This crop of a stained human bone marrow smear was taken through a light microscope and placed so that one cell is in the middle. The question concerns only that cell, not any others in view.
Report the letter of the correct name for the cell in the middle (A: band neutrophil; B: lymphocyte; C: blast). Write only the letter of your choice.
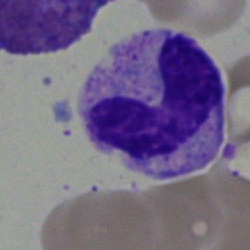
A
